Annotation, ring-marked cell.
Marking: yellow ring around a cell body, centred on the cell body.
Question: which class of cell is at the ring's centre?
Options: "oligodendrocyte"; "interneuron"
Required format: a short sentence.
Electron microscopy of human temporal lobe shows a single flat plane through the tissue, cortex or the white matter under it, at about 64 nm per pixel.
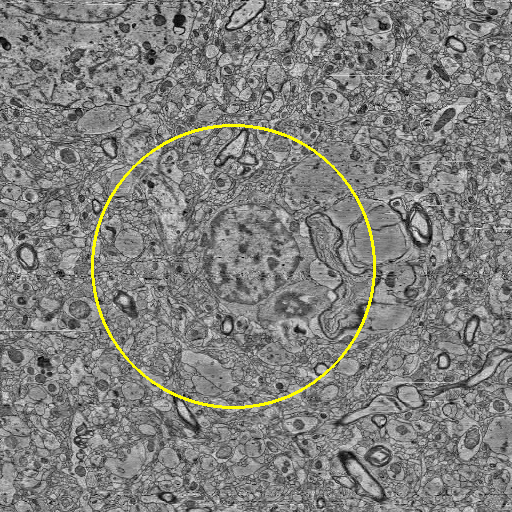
At the ring's centre is an oligodendrocyte.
